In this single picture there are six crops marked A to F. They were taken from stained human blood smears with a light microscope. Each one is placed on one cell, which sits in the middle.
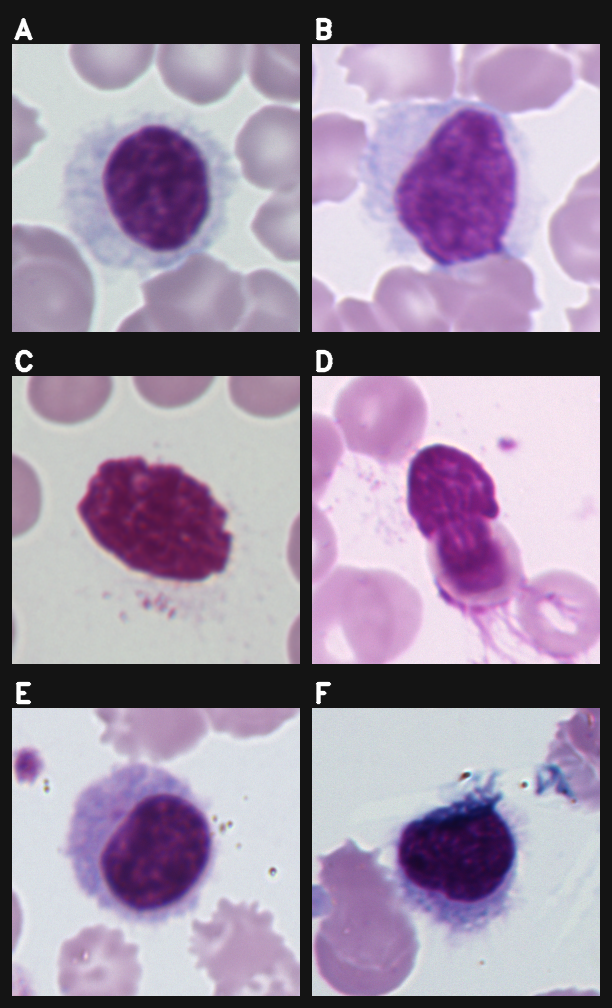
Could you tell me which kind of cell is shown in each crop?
A: hairy cell
B: hairy cell
C: smudge cell
D: smudge cell
E: hairy cell
F: hairy cell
